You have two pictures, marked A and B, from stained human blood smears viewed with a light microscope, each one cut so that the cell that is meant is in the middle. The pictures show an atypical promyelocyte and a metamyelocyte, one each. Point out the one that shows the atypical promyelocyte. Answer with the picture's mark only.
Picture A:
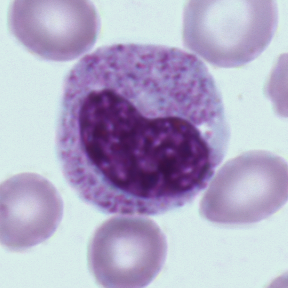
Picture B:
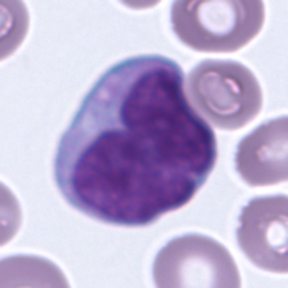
B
